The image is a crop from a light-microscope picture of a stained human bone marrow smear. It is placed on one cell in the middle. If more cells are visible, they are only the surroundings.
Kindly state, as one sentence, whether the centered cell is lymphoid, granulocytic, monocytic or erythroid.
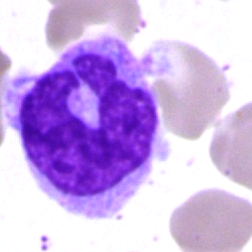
The cell occupying the center of the frame is part of the monocytic lineage.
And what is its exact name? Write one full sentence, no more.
In the crop, the cell of interest at the centre is a monocyte.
